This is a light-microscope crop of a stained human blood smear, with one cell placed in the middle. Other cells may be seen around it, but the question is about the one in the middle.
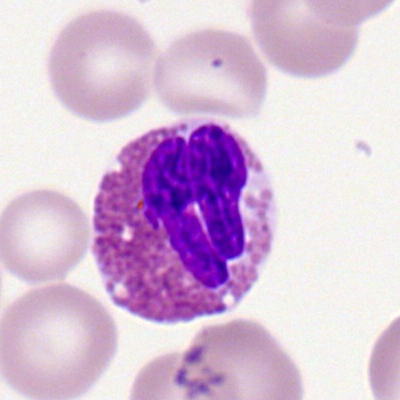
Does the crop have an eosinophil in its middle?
yes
